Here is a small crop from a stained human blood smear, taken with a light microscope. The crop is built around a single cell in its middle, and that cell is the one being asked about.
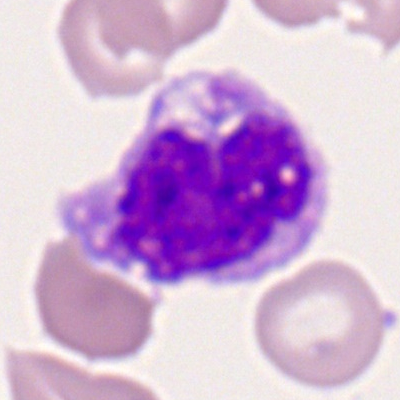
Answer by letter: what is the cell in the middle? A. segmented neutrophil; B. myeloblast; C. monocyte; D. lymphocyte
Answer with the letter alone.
C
